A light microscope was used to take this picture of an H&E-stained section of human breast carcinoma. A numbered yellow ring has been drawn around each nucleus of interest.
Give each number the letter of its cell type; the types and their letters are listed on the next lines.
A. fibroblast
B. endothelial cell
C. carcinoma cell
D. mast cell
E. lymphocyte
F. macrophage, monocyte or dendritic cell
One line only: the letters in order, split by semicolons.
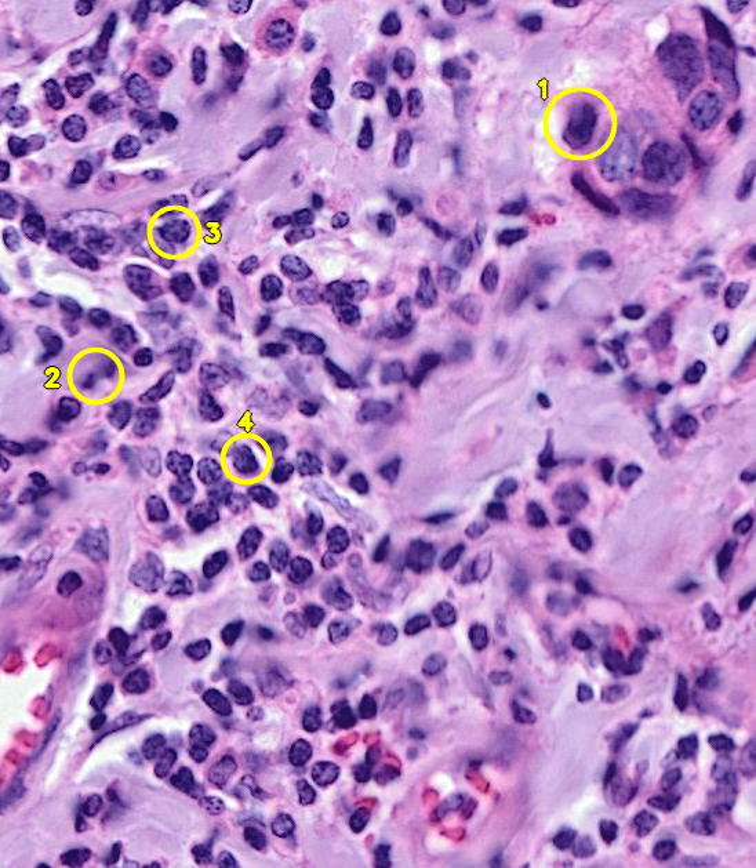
C; E; E; E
